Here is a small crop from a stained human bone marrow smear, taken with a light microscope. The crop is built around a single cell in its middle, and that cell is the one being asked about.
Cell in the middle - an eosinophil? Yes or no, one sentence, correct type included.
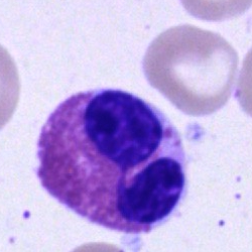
Yes, the one cell at the centre is an eosinophil.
